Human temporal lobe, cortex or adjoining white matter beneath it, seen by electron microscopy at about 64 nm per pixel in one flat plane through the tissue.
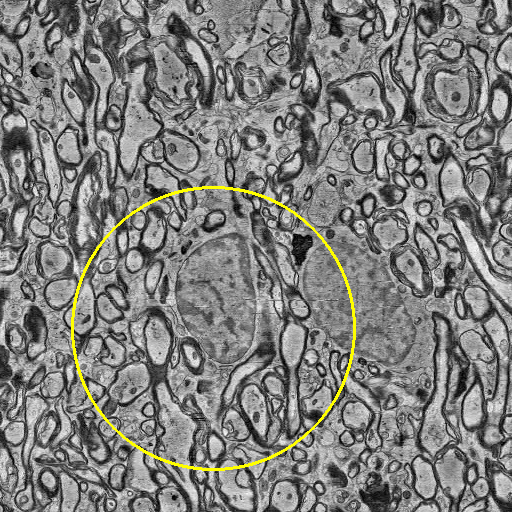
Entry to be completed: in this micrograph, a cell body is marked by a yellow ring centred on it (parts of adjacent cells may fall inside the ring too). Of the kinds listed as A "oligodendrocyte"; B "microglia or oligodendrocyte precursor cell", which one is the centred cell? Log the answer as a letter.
B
